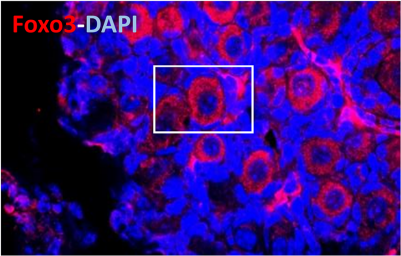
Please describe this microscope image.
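Ovarian cortex crowded with many small round oocytes set among densely packed blue nuclei of surrounding somatic cells. Each oocyte shows a ring of red cytoplasm around a large, round, darker central nucleus that carries little red. The oocytes lie close together, several in a field, each rimmed by a thin layer of flattened blue-stained nuclei, as in small early follicles. Red also streaks irregularly between some cells. The pattern is of oocytes whose red label sits in the cytoplasm rather than the nucleus.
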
